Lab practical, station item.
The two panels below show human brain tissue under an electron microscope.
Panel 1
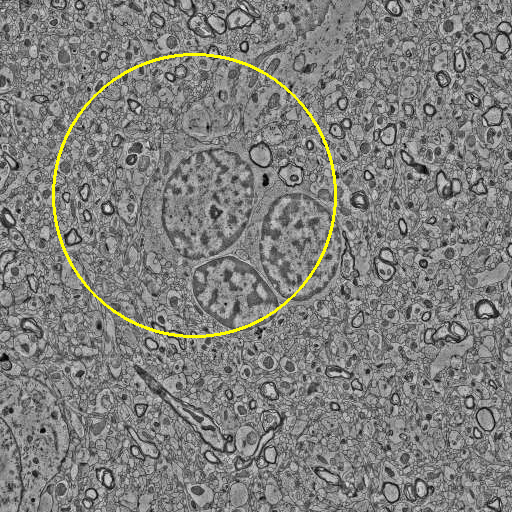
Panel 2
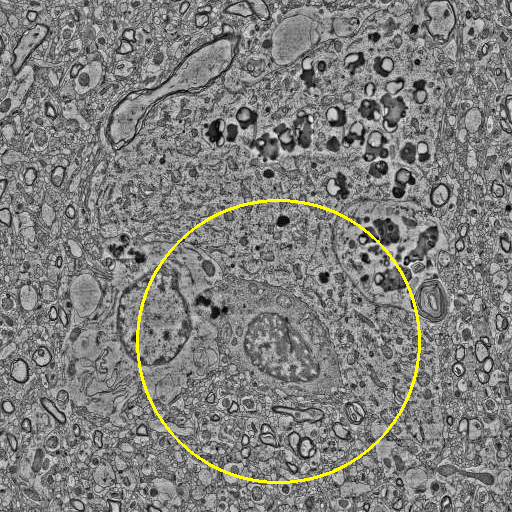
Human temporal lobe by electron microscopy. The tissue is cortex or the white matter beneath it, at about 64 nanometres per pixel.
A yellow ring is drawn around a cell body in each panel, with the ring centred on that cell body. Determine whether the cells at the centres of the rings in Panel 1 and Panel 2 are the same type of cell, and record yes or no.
yes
